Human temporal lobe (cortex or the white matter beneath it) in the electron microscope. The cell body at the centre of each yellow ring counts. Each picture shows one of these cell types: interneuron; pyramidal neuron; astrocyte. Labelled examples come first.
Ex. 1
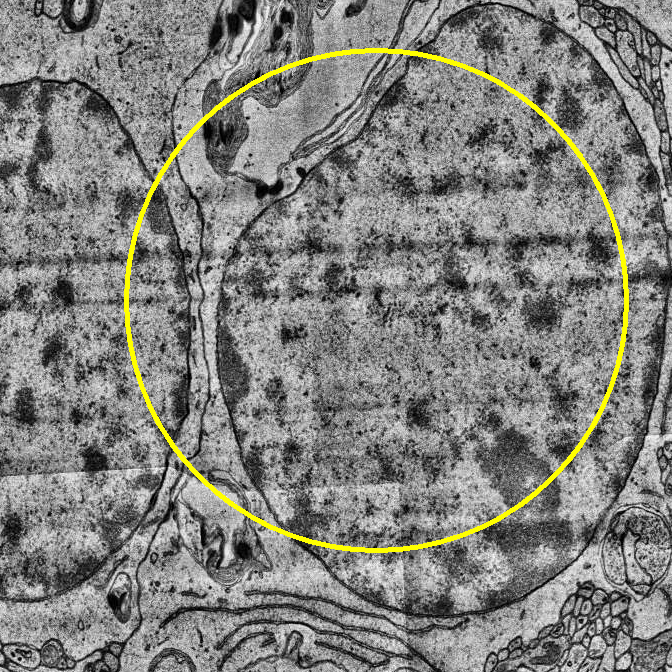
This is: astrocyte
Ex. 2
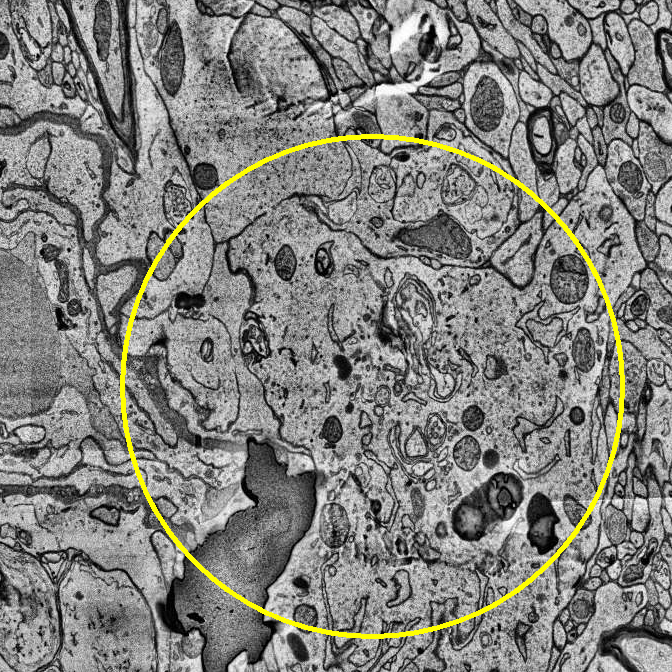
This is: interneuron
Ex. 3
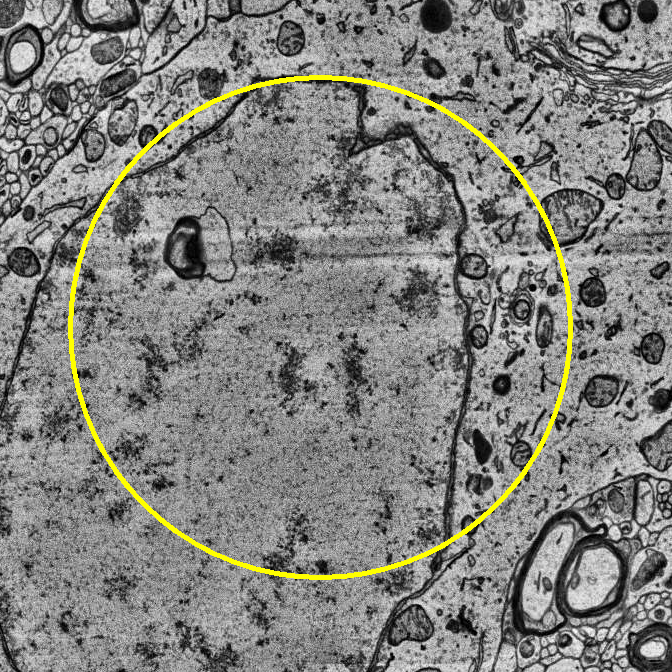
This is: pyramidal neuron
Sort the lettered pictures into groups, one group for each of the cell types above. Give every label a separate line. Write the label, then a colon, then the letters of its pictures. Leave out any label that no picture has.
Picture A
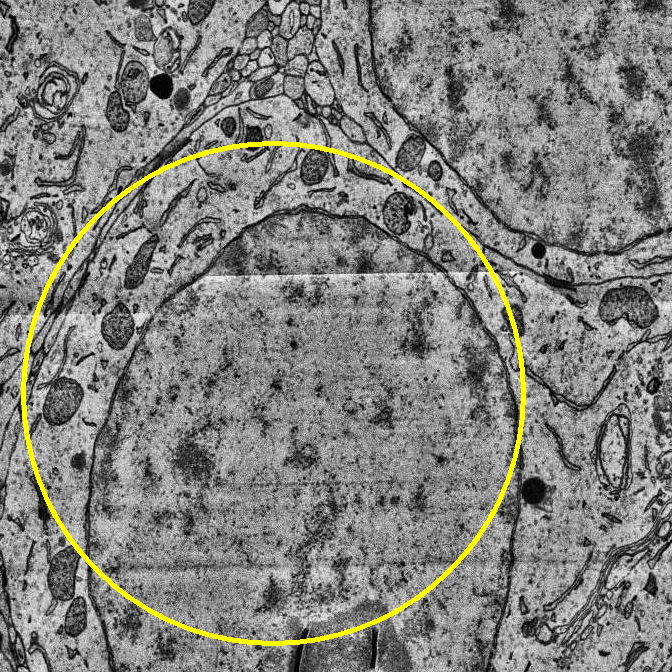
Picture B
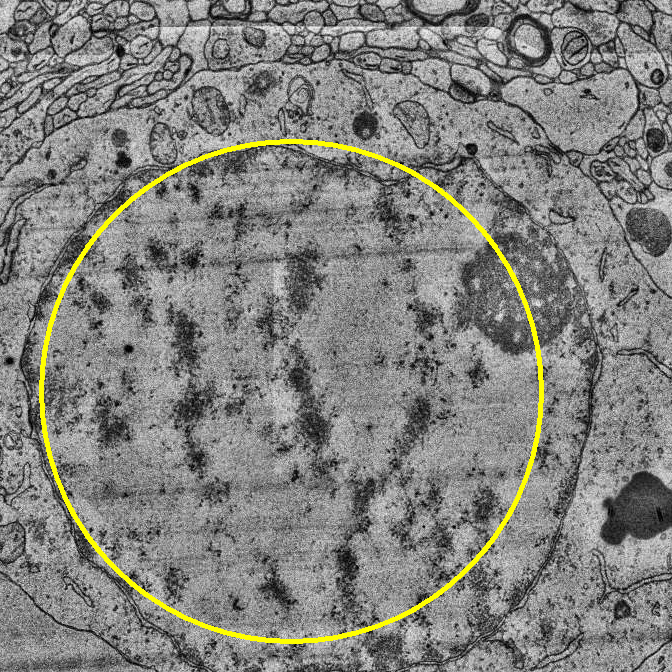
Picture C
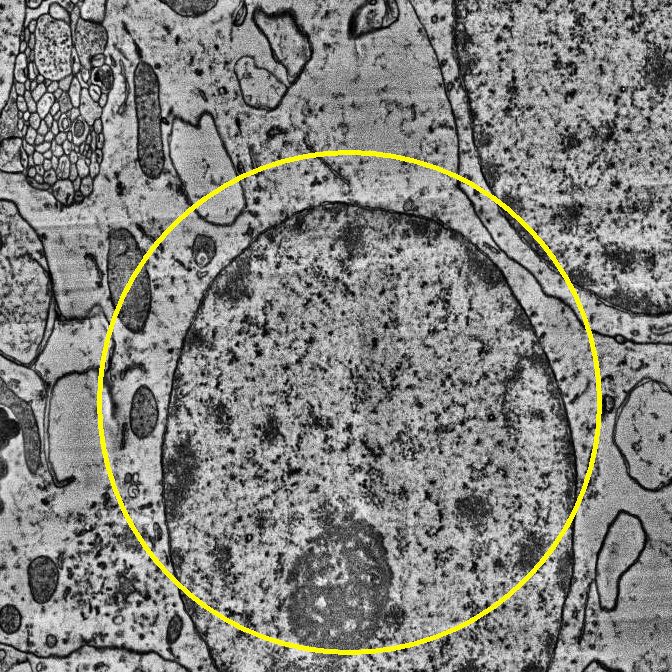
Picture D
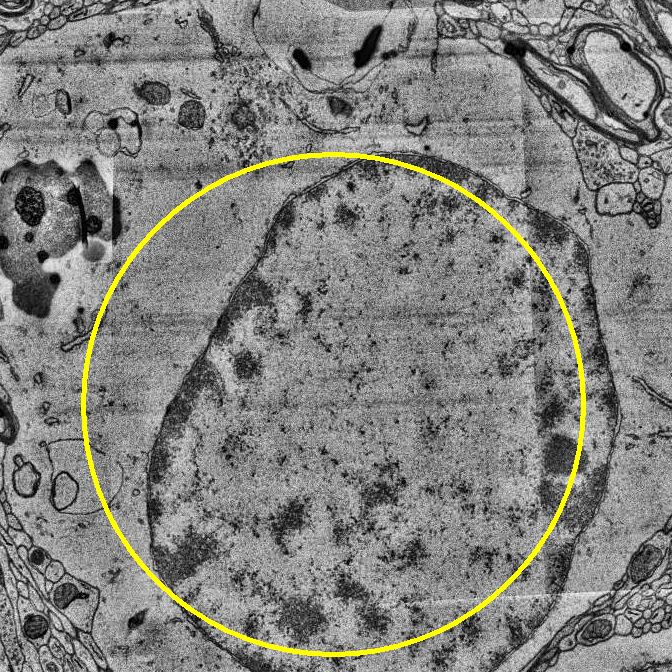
interneuron: B
pyramidal neuron: A
astrocyte: C, D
